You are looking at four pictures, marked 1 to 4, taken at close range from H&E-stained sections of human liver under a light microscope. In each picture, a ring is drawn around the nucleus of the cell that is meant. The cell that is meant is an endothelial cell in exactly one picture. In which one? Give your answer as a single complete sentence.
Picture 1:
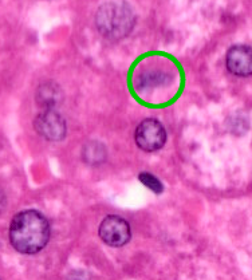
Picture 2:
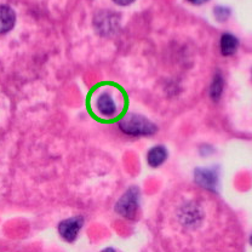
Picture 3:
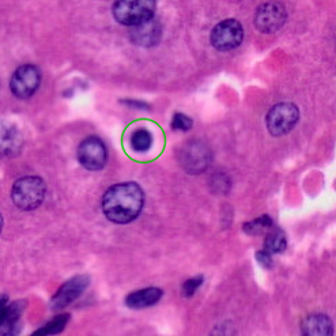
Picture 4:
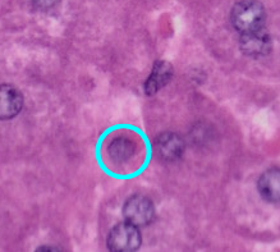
Picture 1 is the one that shows the endothelial cell.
